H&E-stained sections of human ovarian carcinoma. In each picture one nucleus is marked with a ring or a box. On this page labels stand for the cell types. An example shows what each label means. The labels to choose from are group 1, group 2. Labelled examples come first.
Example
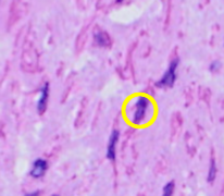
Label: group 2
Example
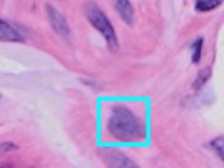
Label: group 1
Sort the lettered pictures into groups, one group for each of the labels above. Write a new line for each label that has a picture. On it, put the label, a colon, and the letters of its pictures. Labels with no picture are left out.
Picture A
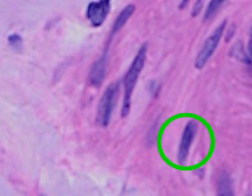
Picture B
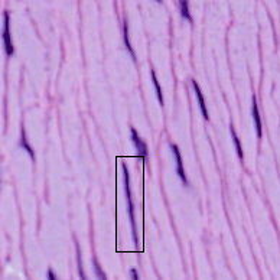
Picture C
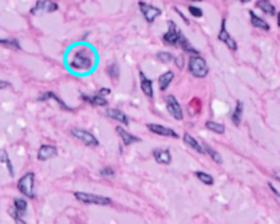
group 1: A
group 2: B, C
